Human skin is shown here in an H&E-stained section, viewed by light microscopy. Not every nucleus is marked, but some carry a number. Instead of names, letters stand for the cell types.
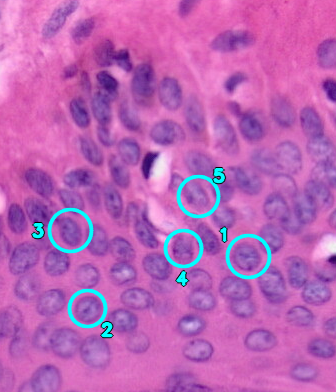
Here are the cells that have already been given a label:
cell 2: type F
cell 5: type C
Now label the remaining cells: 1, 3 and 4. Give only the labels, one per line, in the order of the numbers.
type F
type F
type C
